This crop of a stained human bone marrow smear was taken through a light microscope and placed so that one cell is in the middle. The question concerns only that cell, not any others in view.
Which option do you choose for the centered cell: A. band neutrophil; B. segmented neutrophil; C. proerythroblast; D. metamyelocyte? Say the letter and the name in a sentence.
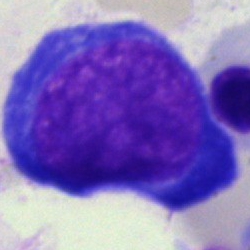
That cell in the center is a proerythroblast, hence option C.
